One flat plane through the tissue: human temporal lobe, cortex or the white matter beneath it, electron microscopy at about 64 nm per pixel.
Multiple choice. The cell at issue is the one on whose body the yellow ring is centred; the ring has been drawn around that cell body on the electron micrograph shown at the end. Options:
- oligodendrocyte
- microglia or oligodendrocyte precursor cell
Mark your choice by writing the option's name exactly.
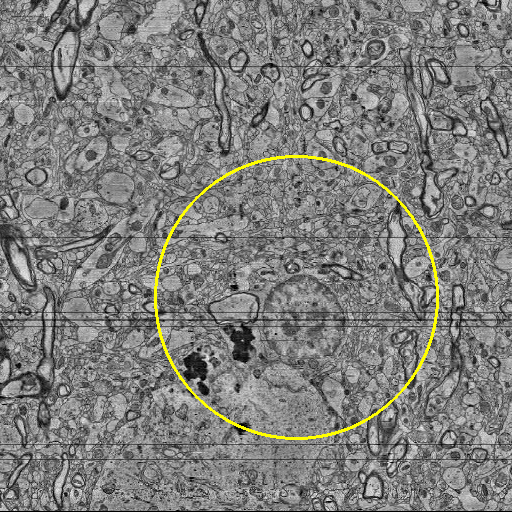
oligodendrocyte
